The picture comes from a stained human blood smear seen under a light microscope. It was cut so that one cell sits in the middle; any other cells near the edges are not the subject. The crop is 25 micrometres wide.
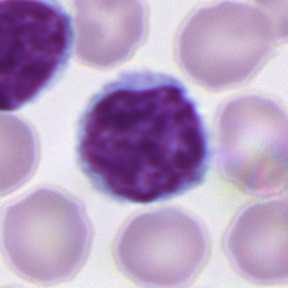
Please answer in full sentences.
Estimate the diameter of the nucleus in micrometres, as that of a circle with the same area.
The diameter of the nucleus comes to about 10 micrometres.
